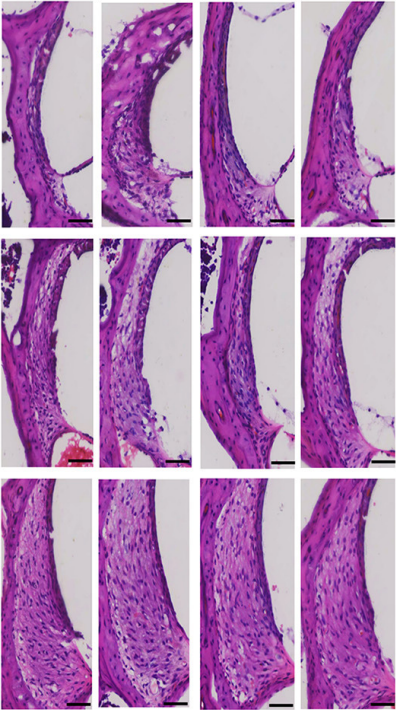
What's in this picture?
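A grid of hematoxylin and eosin sections shows the spiral ligament of the cochlea, a crescent-shaped band of loose connective tissue lying against the pink-stained bony wall and facing an open space. The ligament is made of pale pink fibrous matrix with scattered cells bearing small, dark purple, often elongated nuclei. Along the edge facing the open space lies a thin, more densely cellular, darker pink layer. The tissue appears denser and more compact in some sections and looser, with paler gaps, in others.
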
